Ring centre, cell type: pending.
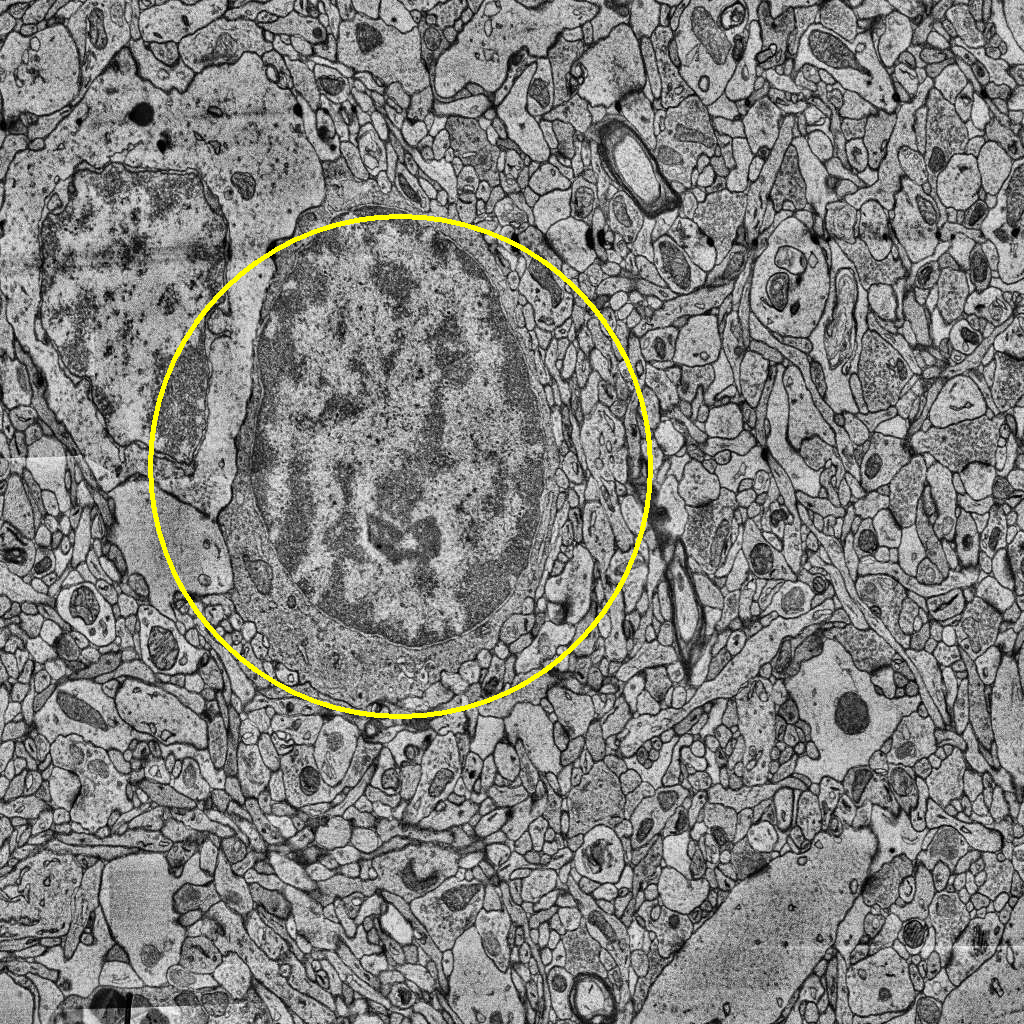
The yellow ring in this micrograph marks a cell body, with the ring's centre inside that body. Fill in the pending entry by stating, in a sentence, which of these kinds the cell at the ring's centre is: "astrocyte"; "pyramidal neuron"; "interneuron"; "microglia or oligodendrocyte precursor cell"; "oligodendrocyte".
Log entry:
The cell at the ring's centre is recorded as an oligodendrocyte.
